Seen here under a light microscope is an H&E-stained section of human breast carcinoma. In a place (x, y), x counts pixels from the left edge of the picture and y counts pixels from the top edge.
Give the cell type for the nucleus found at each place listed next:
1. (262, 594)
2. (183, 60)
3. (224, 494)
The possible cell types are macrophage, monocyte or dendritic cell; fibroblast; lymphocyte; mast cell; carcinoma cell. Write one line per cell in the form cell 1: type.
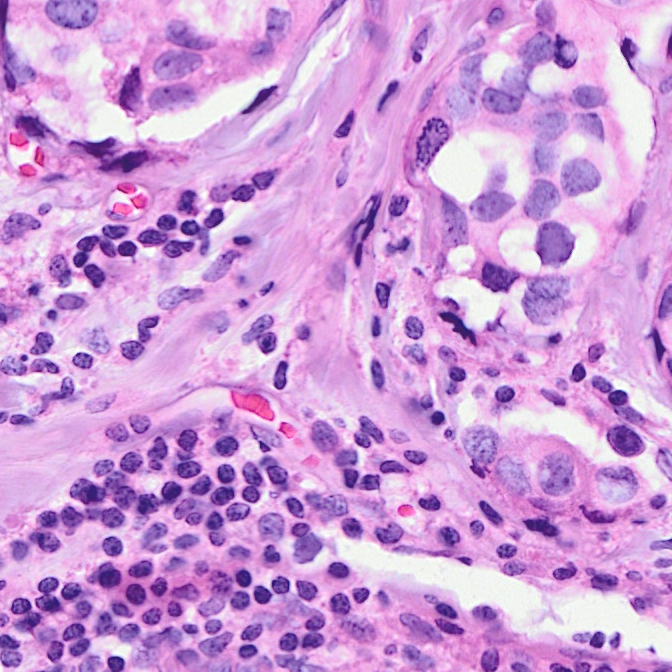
cell 1: lymphocyte
cell 2: carcinoma cell
cell 3: lymphocyte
